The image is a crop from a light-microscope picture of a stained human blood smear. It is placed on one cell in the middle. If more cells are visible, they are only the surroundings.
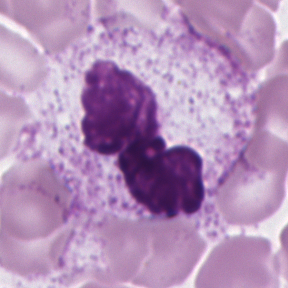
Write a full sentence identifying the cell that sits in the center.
The central element of this crop is a cell, namely a segmented neutrophil.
